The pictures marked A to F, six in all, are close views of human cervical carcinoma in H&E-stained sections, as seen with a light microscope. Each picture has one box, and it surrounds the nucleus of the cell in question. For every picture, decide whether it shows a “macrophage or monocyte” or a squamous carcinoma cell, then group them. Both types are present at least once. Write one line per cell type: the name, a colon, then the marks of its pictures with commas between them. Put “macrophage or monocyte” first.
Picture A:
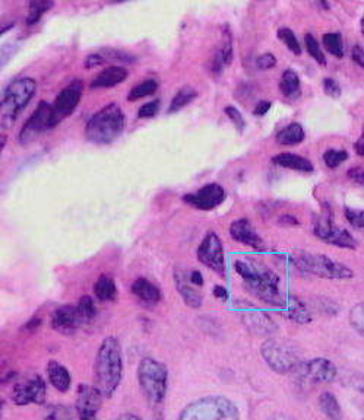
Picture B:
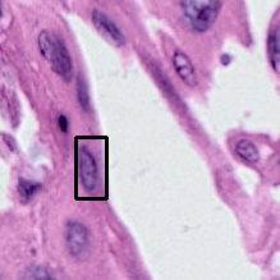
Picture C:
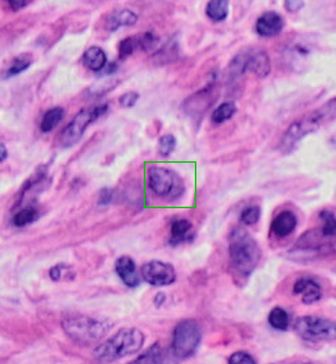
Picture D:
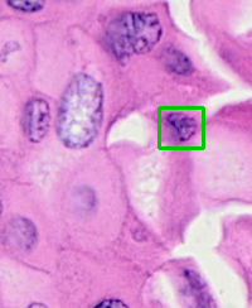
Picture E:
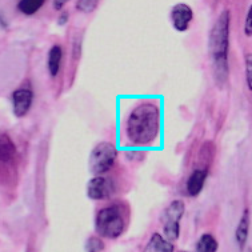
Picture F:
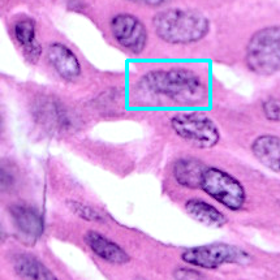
macrophage or monocyte: C, E
squamous carcinoma cell: A, B, D, F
